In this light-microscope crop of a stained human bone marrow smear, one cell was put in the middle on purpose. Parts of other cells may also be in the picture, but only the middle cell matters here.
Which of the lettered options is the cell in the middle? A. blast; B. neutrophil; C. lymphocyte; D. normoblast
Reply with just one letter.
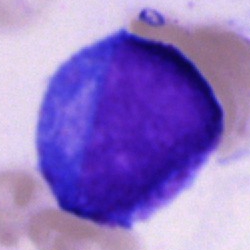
A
